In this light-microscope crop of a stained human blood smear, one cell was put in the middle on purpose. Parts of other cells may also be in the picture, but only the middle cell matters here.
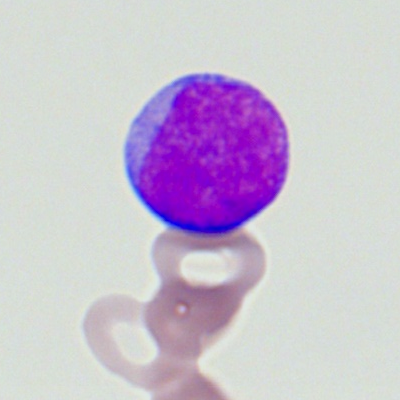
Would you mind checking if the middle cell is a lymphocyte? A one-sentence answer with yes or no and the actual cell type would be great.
No, what lies at the heart of the crop is a myeloblast, not a lymphocyte.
